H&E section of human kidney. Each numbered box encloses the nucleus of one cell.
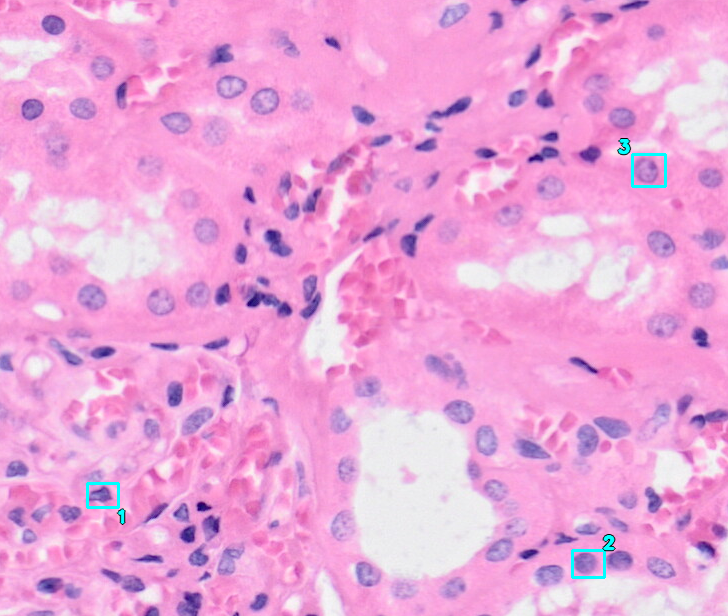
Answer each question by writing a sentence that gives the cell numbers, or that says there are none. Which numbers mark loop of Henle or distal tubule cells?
Only cell 2 qualifies as a loop of Henle or distal tubule cell among the numbered cells.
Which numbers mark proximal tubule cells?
Cell 3 is the one numbered cell that is a proximal tubule cell.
